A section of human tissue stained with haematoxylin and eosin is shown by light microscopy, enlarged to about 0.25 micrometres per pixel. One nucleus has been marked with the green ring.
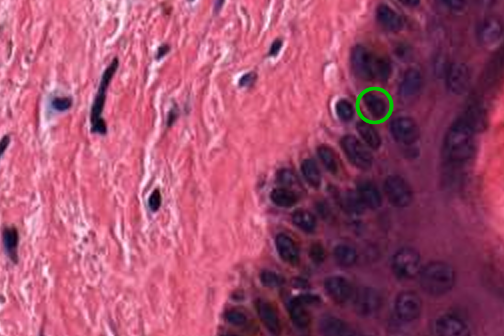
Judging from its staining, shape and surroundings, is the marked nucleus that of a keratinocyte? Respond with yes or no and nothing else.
yes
